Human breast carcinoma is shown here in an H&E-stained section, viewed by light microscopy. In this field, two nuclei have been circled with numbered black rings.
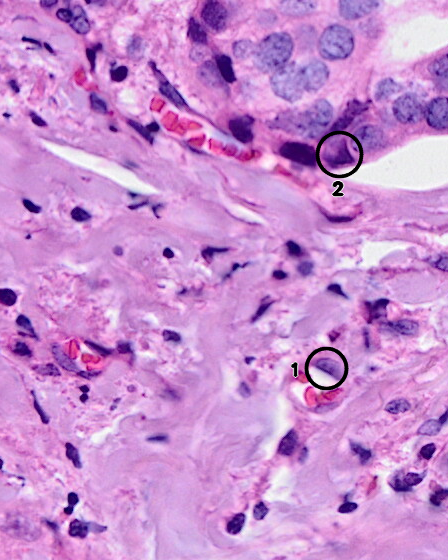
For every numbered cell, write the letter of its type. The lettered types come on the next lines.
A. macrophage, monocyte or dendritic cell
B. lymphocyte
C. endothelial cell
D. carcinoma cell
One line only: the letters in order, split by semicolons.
C; D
